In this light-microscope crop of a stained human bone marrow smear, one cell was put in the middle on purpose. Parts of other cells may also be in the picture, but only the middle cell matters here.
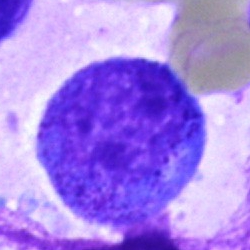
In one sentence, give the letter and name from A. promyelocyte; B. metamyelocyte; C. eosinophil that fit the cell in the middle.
The middle cell of the crop is a promyelocyte; accordingly, option A is correct.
